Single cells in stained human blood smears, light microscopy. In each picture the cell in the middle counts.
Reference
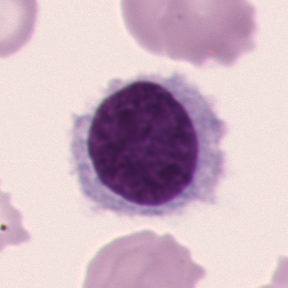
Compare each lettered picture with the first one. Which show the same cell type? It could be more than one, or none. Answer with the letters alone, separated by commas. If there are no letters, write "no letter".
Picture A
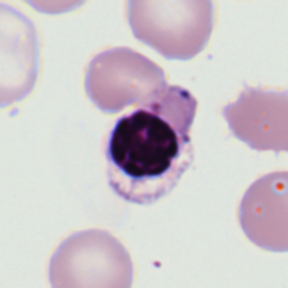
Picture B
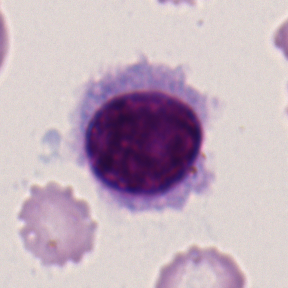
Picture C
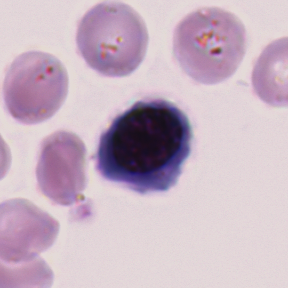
B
